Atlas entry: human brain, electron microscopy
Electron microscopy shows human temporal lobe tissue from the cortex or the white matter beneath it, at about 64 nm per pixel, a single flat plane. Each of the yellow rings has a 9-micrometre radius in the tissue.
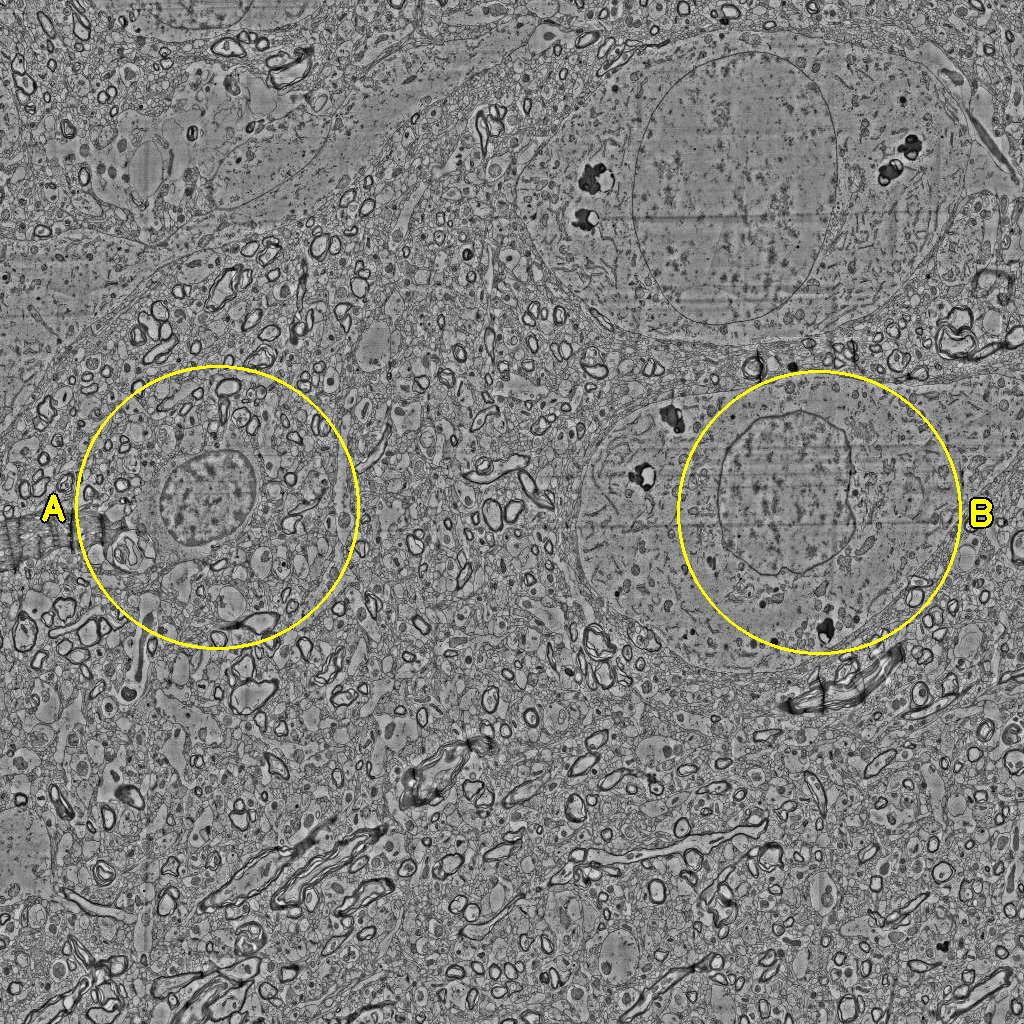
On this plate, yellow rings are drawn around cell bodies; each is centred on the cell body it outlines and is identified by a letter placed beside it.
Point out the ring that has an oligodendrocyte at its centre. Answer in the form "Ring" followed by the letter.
Ring A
